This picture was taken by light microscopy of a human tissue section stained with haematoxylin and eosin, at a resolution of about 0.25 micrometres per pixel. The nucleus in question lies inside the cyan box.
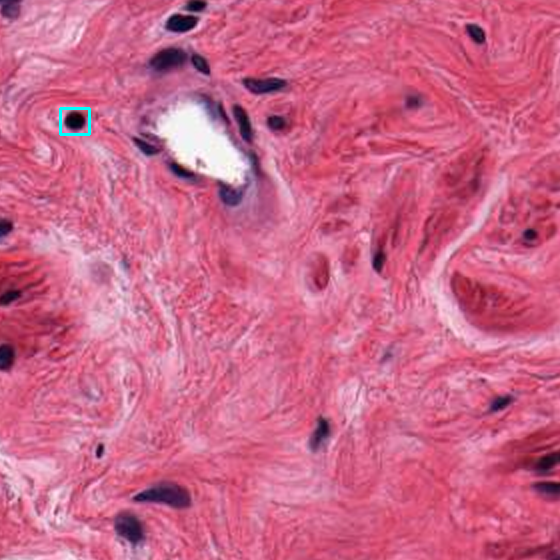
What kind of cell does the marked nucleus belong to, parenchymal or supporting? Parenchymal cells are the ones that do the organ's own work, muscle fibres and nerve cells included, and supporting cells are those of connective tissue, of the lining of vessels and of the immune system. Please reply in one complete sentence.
Attributed to a supporting cell is the marked nucleus.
